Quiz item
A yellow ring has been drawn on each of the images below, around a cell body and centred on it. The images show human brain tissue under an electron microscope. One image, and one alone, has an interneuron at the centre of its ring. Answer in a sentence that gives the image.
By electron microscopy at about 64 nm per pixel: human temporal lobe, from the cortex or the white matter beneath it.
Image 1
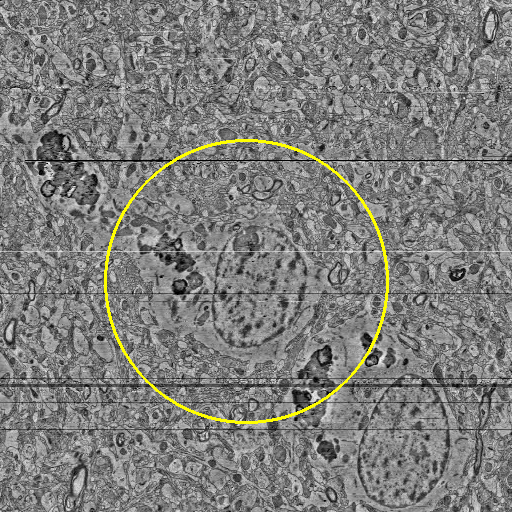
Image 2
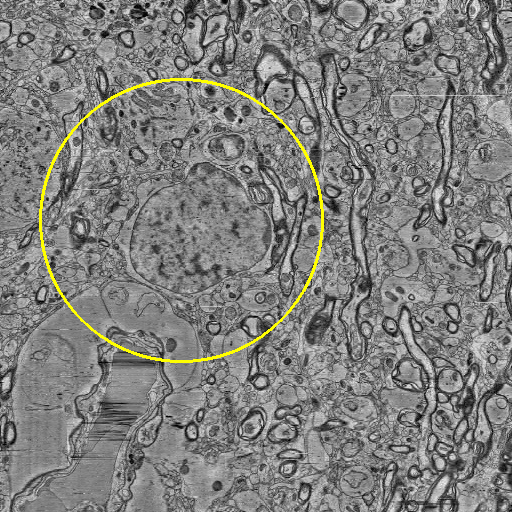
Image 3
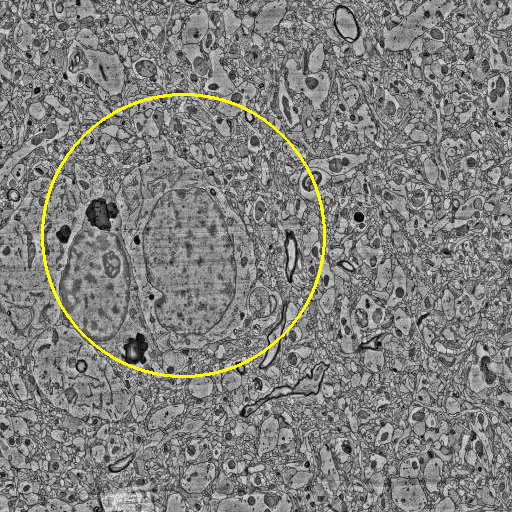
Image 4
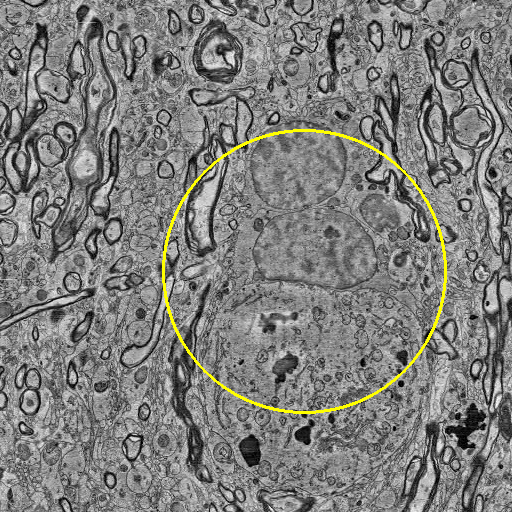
Image 3 shows it at the centre of the ring.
